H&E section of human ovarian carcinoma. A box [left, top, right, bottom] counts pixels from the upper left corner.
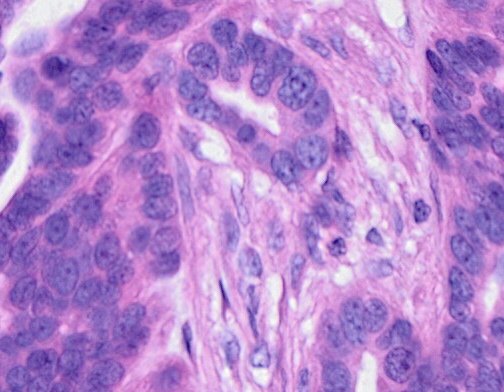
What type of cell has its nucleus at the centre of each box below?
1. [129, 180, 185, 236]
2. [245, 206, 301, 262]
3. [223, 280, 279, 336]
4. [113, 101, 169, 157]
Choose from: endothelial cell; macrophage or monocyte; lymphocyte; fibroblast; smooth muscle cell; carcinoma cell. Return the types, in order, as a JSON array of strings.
["carcinoma cell", "fibroblast", "fibroblast", "carcinoma cell"]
